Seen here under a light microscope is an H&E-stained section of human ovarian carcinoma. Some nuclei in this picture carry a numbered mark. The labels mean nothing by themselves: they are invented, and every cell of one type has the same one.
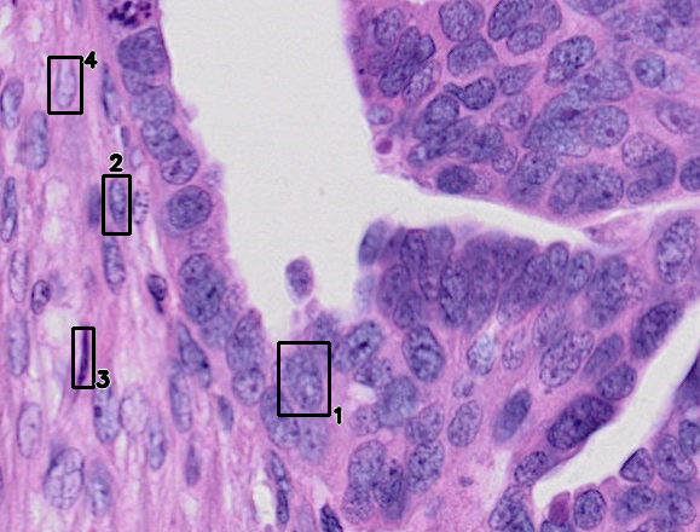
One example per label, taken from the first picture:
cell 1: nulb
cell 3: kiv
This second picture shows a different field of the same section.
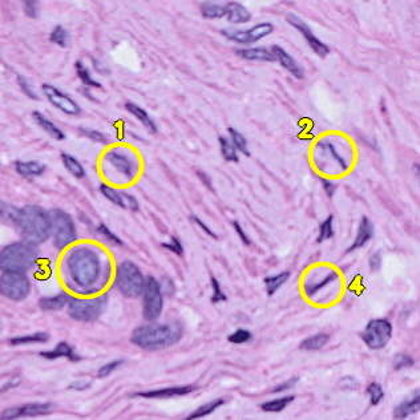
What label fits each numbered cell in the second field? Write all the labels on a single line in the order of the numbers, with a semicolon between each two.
kiv; kiv; nulb; kiv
